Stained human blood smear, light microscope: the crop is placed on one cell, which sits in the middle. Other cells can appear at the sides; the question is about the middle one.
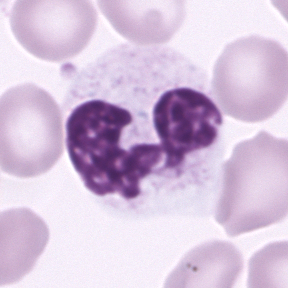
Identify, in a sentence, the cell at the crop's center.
What sits at the centre of this crop is a segmented neutrophil.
